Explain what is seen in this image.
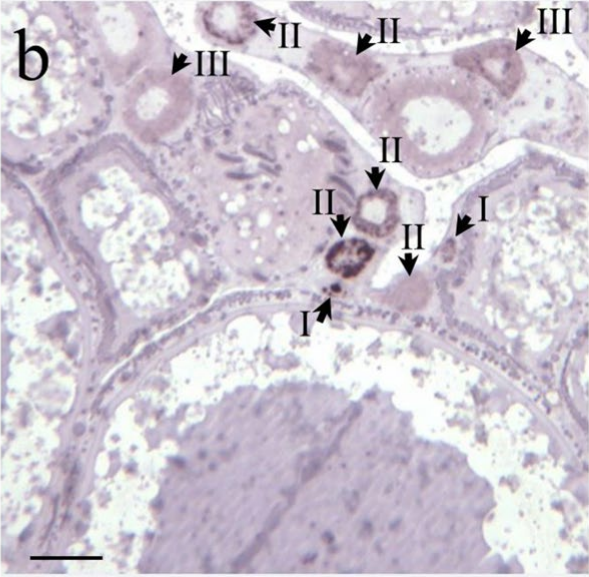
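The small oocytes are round, with a pale central nucleus and a rim of cytoplasm; one or two of the smallest are stained deep purple-brown, others only a light mauve. Mid-sized oocytes have a wider, evenly pale mauve cytoplasm around a clear nucleus. The large oocytes filling most of the field have cytoplasm riddled with clear vacuoles, and one at the bottom shows a broad evenly stained central mass, each enclosed by a thin cellular rim.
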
